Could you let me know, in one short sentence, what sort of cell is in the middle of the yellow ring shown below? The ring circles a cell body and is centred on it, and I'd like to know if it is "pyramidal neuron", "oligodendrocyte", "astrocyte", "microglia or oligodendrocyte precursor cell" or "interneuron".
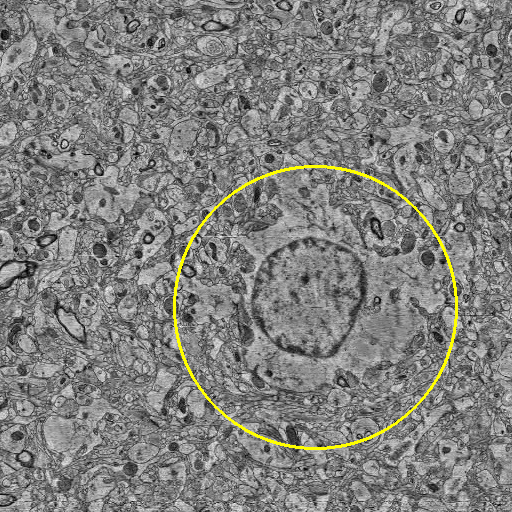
The ring circles the cell body of an astrocyte.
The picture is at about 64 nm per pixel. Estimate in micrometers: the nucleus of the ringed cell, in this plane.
The nucleus measures about 8 micrometers across in this plane.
